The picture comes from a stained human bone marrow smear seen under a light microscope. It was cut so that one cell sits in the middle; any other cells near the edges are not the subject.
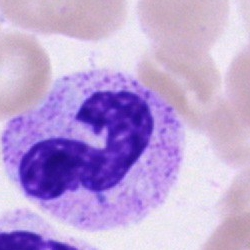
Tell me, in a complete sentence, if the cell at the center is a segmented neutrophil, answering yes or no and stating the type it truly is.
No, the centre cell is not a segmented neutrophil but a band neutrophil.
